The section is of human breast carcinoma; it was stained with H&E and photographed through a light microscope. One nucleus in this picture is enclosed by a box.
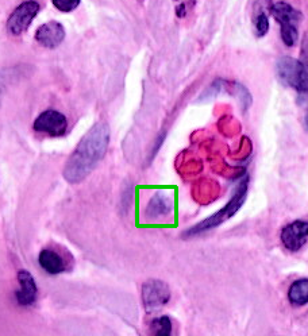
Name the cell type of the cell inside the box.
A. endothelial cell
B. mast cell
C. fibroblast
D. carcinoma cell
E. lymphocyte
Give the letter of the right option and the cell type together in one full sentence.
Right answer, option A: the cell inside the box is an endothelial cell.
